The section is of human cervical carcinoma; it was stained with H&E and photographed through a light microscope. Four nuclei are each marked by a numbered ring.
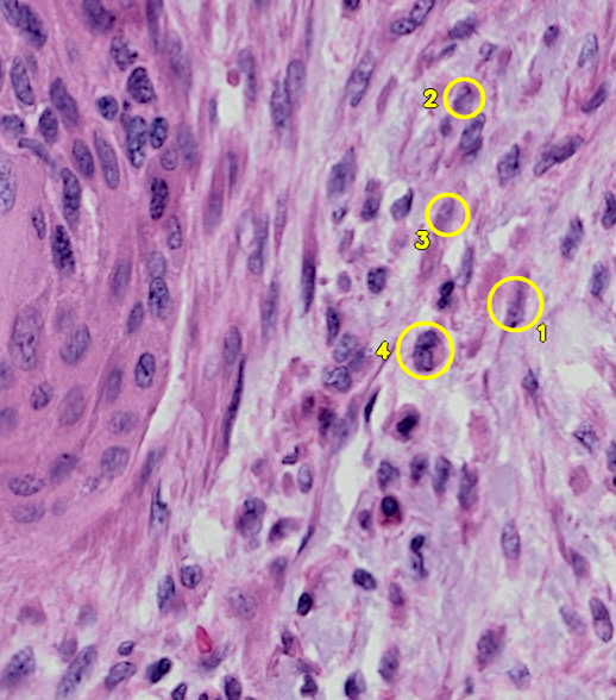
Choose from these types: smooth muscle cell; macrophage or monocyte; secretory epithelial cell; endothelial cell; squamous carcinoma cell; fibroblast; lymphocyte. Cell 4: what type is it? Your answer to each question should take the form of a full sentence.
The nucleus labelled 4 belongs to a macrophage or monocyte.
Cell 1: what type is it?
Cell 1, among those numbered, is a fibroblast.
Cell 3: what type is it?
Identified by the number 3, the cell is a fibroblast.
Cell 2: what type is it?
As for number 2, that cell is a fibroblast.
